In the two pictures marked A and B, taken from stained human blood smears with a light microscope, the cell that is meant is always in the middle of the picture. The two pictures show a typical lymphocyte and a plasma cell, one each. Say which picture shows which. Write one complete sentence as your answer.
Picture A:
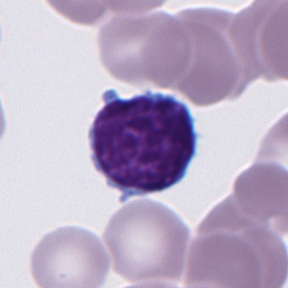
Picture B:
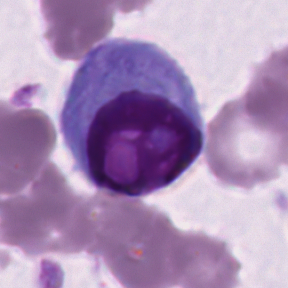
It is picture A that shows a typical lymphocyte, and picture B that shows a plasma cell.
